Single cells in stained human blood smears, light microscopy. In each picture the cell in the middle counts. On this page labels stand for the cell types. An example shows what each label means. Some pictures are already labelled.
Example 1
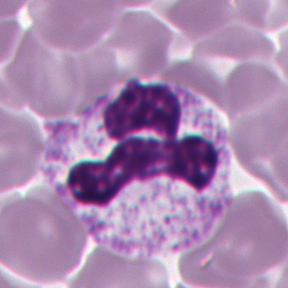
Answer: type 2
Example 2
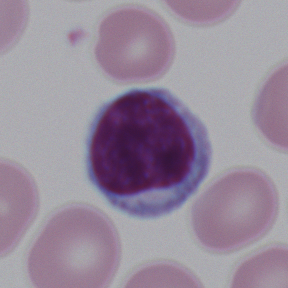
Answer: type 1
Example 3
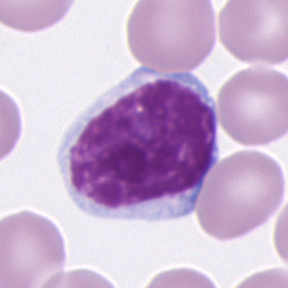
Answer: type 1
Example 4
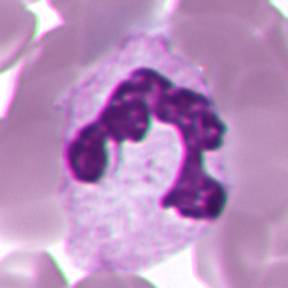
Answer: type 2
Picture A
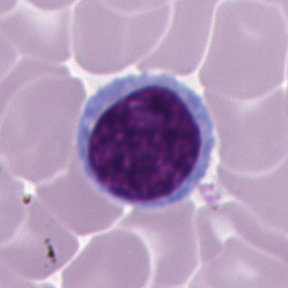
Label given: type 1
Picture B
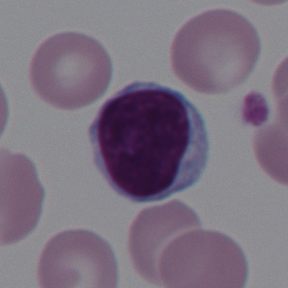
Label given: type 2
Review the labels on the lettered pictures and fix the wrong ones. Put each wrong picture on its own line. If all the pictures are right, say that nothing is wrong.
B: change type 2 to type 1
